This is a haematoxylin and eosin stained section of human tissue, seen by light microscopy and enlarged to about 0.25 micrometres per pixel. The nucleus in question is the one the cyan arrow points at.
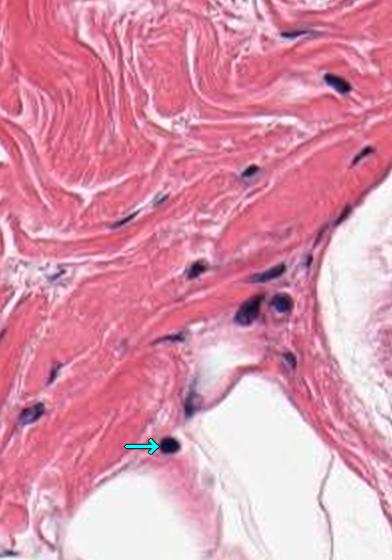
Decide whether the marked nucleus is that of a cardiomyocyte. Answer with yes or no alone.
no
